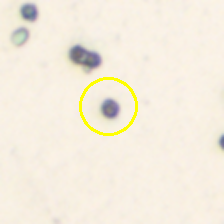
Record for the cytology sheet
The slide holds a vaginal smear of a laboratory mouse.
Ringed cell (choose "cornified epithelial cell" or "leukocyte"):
leukocyte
